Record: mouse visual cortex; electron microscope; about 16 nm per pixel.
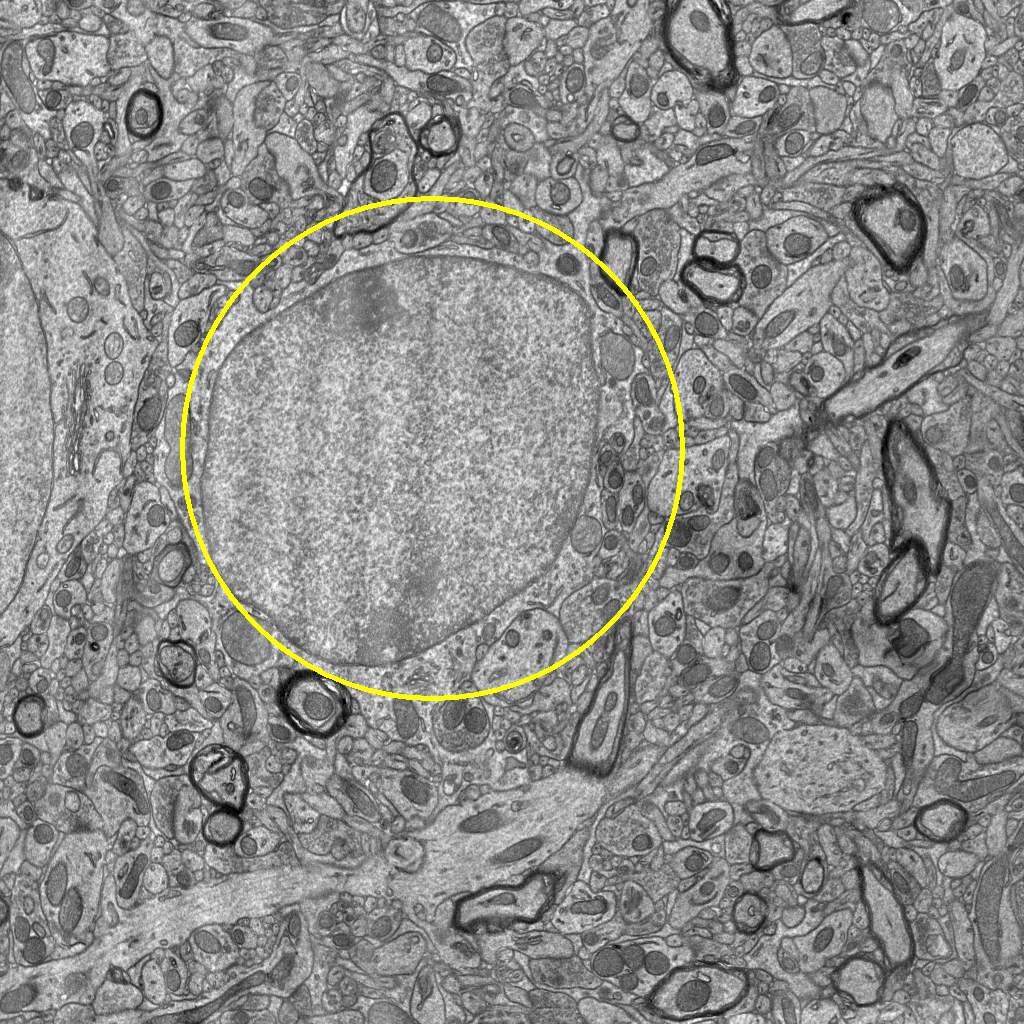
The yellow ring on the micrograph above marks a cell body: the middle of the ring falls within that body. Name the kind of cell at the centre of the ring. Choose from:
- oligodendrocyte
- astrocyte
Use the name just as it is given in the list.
astrocyte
